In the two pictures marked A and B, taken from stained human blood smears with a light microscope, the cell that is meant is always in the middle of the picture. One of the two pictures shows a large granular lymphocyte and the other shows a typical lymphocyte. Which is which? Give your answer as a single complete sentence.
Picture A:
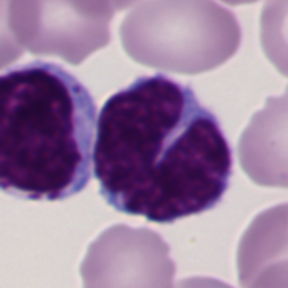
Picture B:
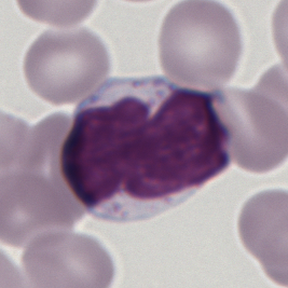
Picture B shows a large granular lymphocyte, while picture A shows a typical lymphocyte.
